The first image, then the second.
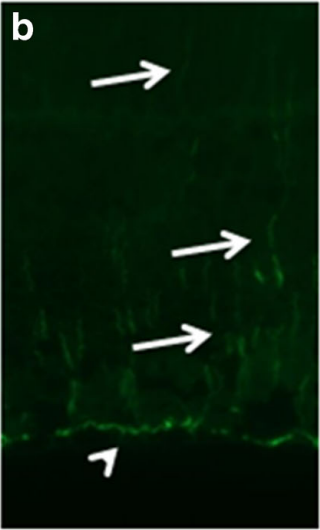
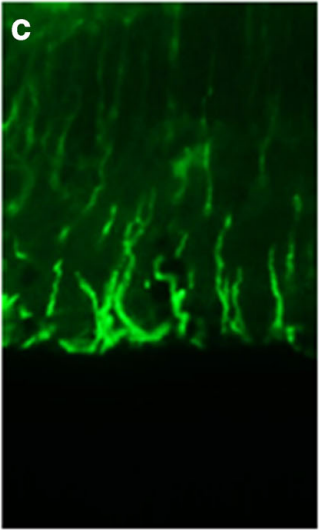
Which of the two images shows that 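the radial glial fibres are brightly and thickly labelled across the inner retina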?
the second image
